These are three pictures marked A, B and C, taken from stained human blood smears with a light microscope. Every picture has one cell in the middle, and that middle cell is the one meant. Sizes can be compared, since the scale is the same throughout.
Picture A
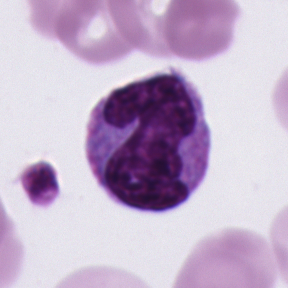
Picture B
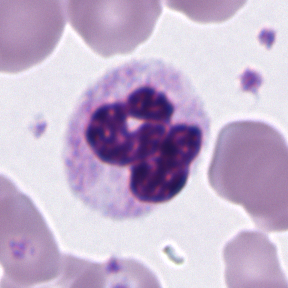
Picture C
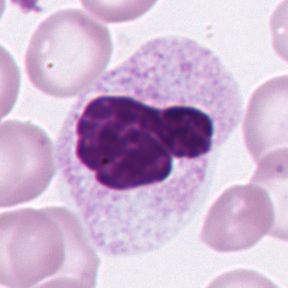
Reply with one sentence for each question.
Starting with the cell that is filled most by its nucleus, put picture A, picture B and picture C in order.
They run A, B, C, the most filled first.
